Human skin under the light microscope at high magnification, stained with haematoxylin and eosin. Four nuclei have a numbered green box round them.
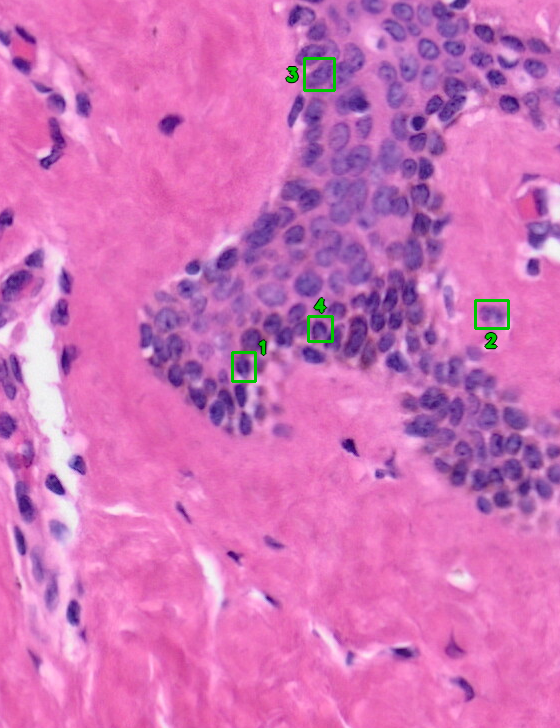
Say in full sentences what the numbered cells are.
Cell 1 is a basal keratinocyte, cell 2 is a fibroblast, cell 3 is a basal keratinocyte and cell 4 is a basal keratinocyte.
